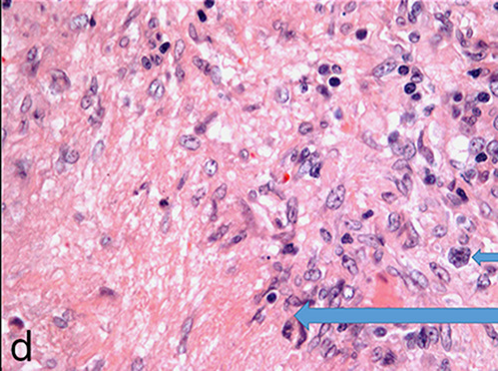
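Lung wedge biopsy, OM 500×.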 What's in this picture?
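This high-power view shows an area of necrosis bordered by palisaded granulomatous histiocytes, with an atypical cell nearby. On the right, the viable tissue contains scattered cells with dark nuclei and at least one larger cell with an enlarged, irregular nucleus. Small clear spaces are scattered through the pink background near the border.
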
